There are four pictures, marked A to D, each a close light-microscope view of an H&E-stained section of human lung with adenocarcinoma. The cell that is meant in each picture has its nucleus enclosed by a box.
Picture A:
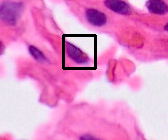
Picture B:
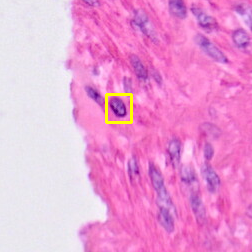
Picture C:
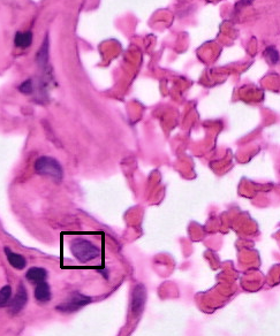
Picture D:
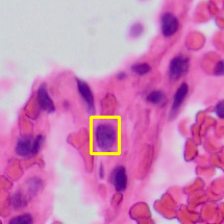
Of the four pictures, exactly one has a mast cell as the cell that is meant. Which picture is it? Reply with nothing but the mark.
B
